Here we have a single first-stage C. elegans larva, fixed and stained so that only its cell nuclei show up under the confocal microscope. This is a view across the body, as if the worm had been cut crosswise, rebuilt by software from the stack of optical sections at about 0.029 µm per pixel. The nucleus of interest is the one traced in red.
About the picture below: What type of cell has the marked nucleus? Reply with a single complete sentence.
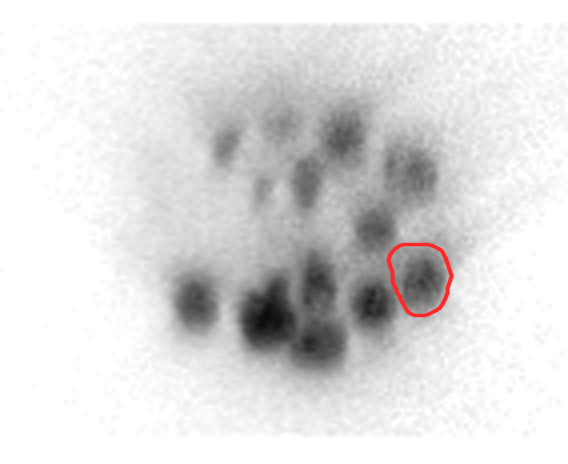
The cell with the marked nucleus is a body wall muscle cell.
